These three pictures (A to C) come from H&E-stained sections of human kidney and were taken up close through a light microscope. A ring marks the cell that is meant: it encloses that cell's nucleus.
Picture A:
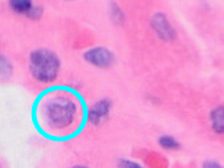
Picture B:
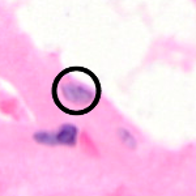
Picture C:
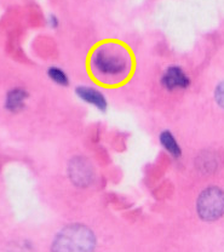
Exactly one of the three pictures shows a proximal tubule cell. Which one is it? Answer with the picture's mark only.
C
